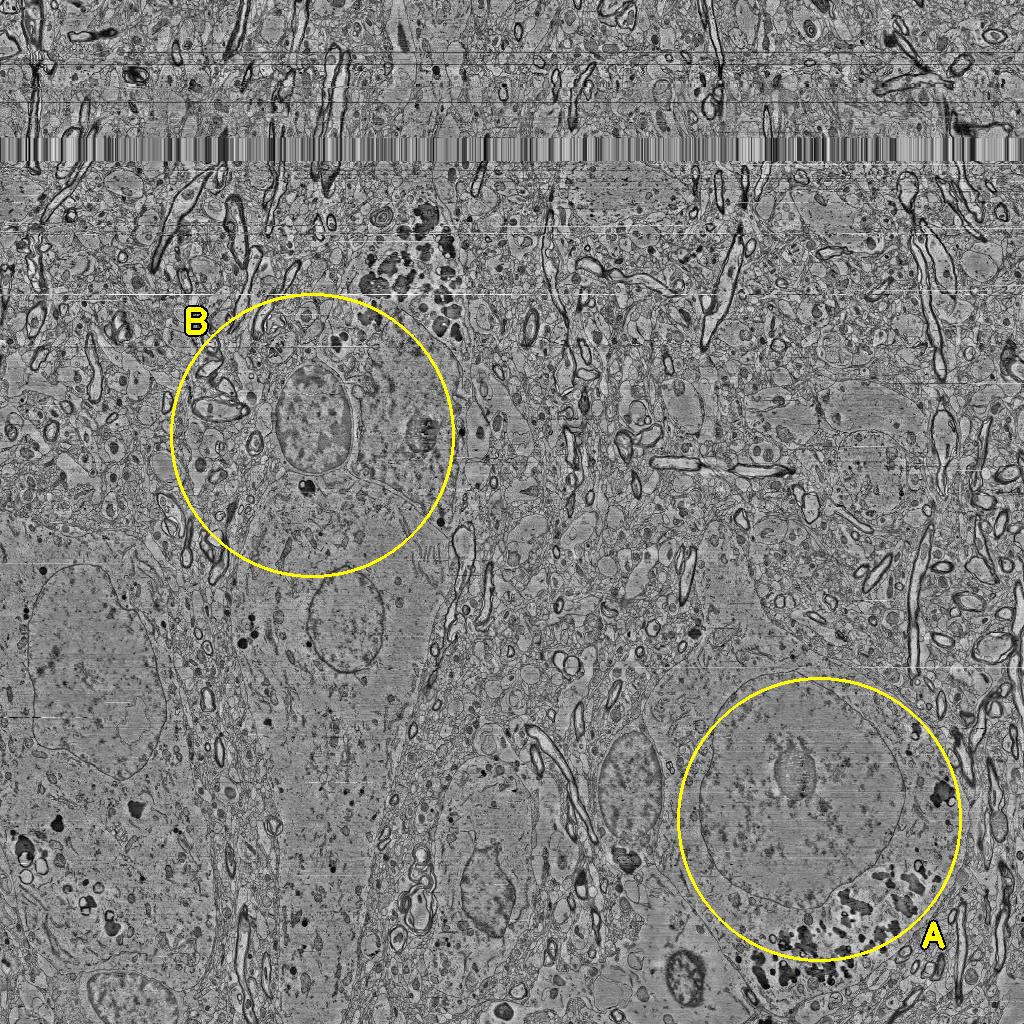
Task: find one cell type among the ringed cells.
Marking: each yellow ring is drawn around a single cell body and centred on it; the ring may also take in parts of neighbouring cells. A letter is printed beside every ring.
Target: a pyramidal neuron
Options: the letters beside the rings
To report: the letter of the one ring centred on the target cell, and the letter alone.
A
